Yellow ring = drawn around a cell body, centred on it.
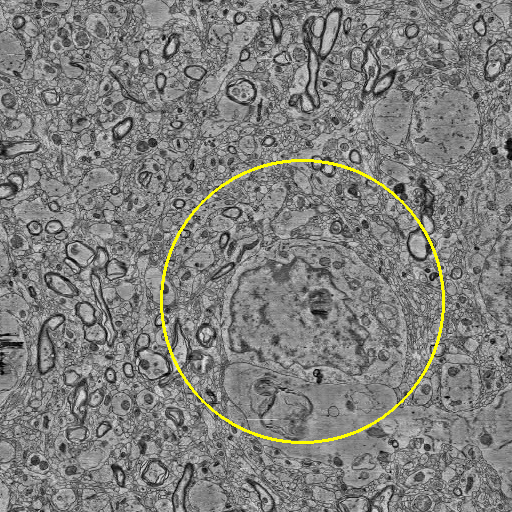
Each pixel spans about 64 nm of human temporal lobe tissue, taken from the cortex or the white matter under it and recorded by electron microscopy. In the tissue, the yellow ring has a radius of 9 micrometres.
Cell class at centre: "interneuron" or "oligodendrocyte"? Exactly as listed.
interneuron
